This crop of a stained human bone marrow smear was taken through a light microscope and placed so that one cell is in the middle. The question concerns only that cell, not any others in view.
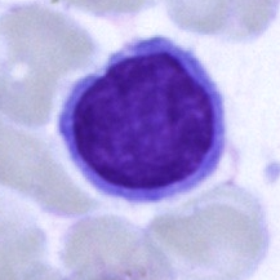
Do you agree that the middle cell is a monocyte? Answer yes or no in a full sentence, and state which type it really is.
No, a lymphocyte, not a monocyte, is what sits in the centre of the crop.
